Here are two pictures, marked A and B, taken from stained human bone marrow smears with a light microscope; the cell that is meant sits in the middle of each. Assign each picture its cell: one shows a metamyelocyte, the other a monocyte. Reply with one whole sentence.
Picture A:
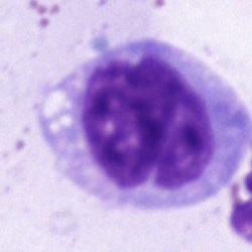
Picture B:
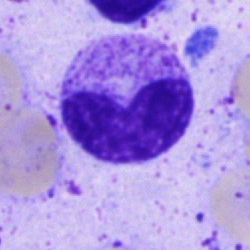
It is picture A that shows a monocyte, and picture B that shows a metamyelocyte.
